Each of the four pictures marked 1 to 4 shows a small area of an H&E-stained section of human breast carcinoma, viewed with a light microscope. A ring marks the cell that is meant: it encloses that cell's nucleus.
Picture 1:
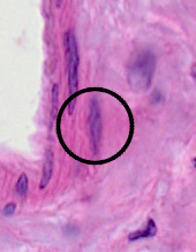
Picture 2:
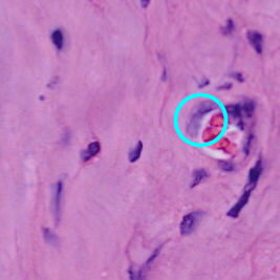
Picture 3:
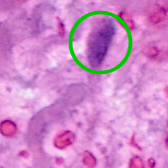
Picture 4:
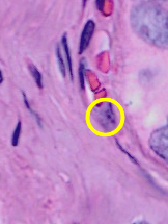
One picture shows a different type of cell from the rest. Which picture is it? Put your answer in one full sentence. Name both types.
The others show endothelial cells, but picture 3 shows a fibroblast.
